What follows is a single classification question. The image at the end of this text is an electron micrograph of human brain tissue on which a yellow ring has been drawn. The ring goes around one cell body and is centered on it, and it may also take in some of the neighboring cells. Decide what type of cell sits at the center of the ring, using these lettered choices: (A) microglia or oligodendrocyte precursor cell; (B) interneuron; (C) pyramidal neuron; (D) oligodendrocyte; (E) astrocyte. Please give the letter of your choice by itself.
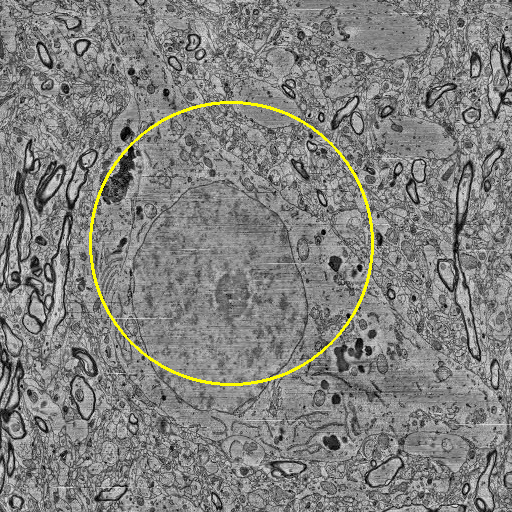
C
